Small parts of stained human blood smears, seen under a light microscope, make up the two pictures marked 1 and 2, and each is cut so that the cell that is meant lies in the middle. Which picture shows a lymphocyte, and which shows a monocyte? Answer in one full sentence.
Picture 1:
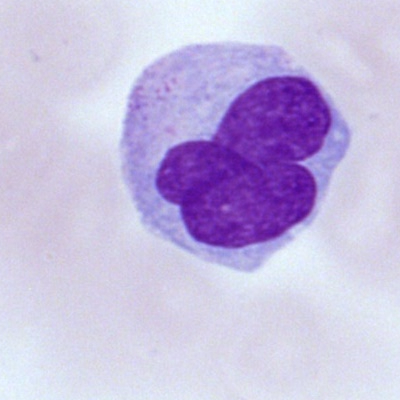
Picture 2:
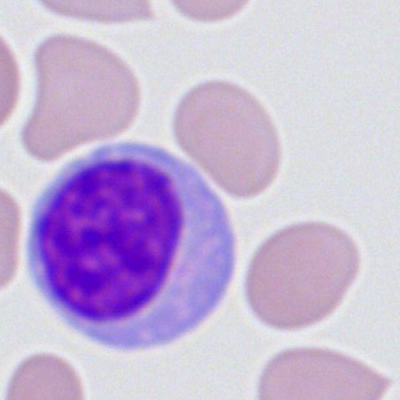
The cell in picture 1 is a monocyte, and the one in picture 2 is a lymphocyte.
